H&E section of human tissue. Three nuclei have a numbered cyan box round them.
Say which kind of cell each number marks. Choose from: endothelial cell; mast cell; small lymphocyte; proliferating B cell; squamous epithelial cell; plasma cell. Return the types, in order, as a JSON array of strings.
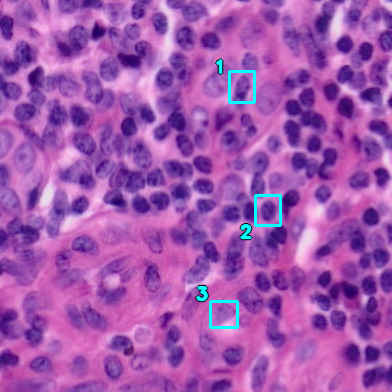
["endothelial cell", "small lymphocyte", "endothelial cell"]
